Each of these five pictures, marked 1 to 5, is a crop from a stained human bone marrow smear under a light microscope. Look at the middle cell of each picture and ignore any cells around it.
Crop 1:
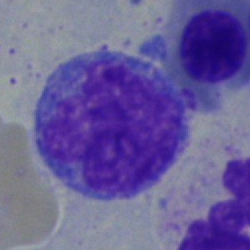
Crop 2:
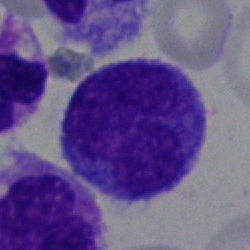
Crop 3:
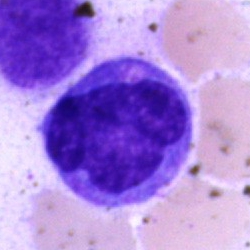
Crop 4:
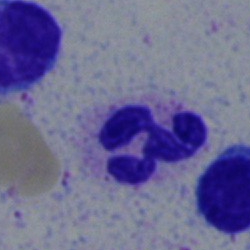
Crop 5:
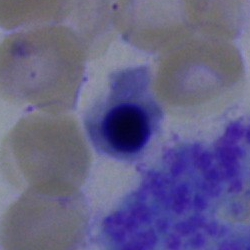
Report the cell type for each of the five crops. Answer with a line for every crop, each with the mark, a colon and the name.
1: monocyte
2: blast
3: monocyte
4: segmented neutrophil
5: erythroblast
